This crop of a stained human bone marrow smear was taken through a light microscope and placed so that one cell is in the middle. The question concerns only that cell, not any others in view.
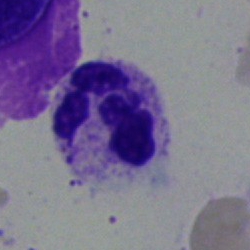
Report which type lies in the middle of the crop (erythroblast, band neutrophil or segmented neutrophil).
segmented neutrophil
